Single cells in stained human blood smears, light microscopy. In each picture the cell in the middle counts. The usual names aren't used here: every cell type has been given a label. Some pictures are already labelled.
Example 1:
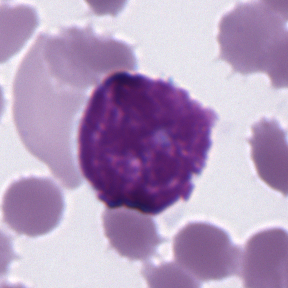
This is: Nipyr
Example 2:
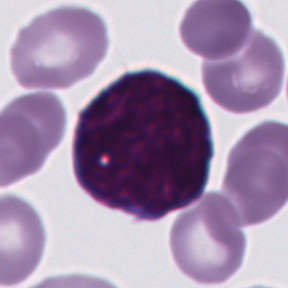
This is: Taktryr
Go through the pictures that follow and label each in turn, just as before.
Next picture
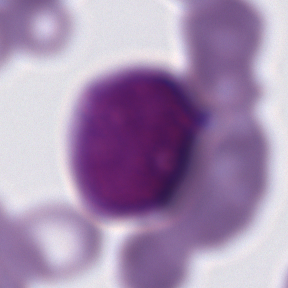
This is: Nipyr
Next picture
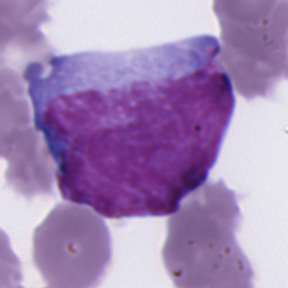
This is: Taktryr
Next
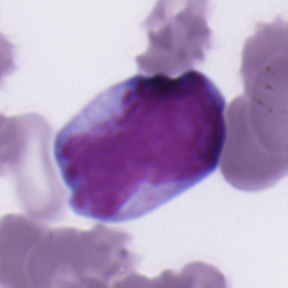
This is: Taktryr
